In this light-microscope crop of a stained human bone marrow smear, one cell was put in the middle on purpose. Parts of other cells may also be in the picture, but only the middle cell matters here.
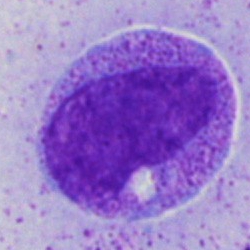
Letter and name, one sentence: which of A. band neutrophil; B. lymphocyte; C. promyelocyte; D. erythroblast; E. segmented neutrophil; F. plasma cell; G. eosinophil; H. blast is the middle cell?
The middle of the crop holds a promyelocyte, which points to option C.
